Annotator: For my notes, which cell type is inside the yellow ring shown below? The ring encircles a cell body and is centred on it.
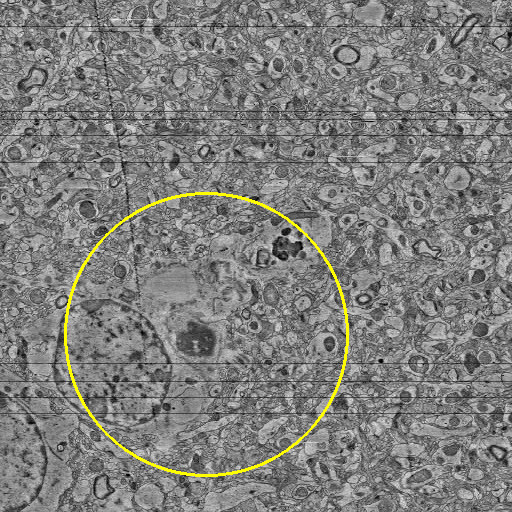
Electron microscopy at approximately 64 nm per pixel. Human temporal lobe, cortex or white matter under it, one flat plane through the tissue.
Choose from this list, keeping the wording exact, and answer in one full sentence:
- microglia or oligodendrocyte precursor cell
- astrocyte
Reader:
At the centre of the yellow ring there is a microglial cell or oligodendrocyte precursor cell, as shown in the picture.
